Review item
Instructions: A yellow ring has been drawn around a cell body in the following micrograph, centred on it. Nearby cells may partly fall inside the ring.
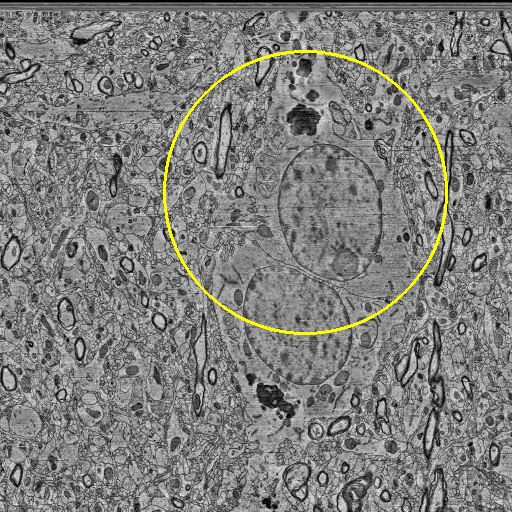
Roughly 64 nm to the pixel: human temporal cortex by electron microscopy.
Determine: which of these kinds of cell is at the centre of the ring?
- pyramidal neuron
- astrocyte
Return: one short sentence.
The cell body in the middle of the ring is that of an astrocyte.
